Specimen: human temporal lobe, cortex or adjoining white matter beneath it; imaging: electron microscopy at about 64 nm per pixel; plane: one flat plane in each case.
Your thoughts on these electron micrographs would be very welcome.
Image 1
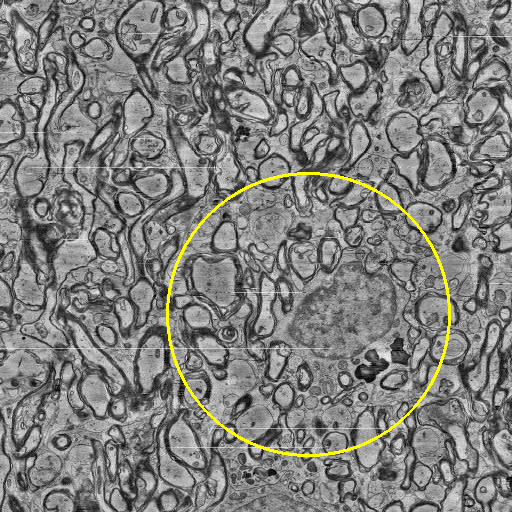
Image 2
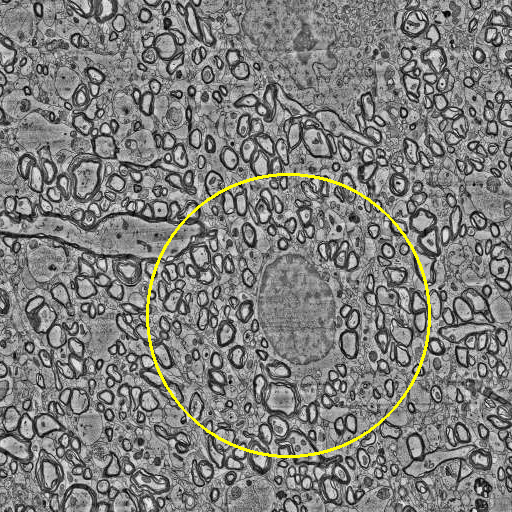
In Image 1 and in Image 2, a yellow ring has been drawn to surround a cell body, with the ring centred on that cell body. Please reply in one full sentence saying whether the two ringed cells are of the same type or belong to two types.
The ringed cells in Image 1 and Image 2 are of the same type.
